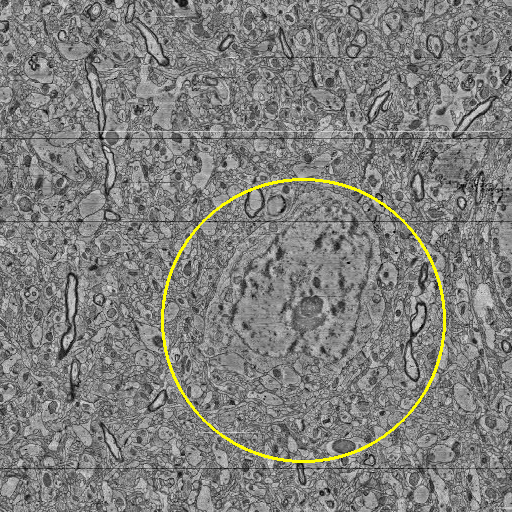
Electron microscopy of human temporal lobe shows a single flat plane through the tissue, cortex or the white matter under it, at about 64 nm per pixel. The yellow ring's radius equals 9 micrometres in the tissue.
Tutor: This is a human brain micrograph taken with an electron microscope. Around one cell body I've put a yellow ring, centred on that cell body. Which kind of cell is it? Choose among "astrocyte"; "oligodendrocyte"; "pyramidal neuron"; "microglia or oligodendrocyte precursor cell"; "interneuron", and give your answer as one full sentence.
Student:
Going by your list, the cell centred in the yellow ring is an interneuron.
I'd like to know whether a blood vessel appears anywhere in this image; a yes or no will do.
No.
